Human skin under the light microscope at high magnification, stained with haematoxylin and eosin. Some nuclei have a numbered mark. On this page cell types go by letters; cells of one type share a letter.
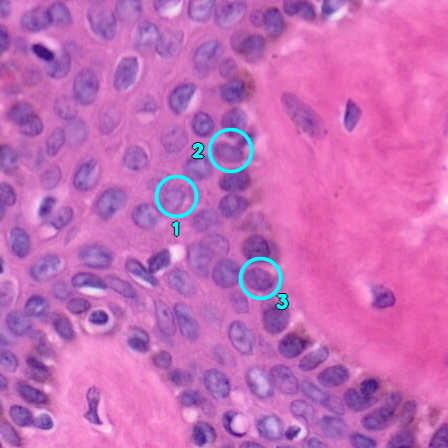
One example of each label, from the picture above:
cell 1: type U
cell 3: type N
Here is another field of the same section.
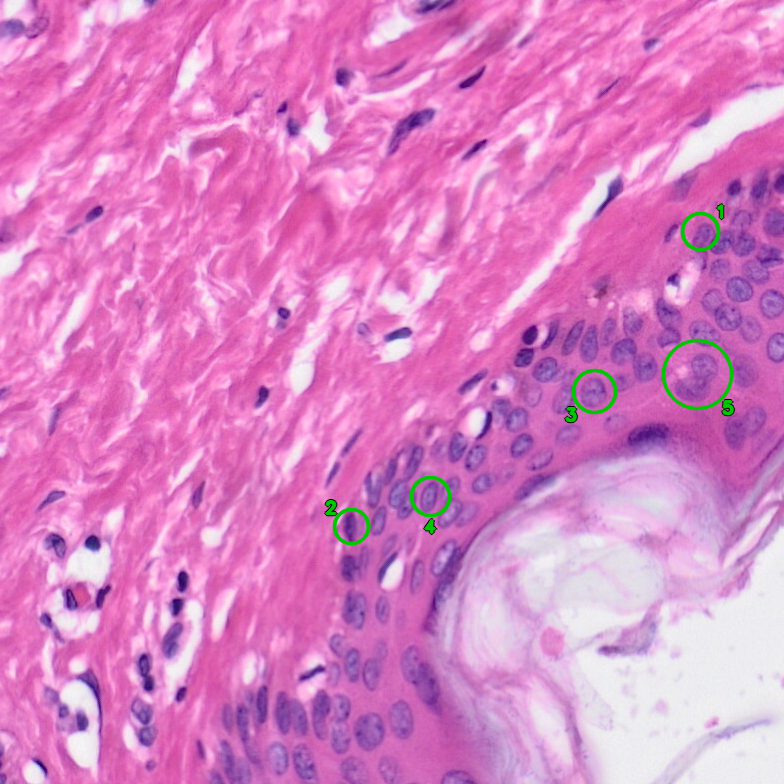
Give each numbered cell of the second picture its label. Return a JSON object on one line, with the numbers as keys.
{"1": "type N", "2": "type N", "3": "type U", "4": "type U", "5": "type U"}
